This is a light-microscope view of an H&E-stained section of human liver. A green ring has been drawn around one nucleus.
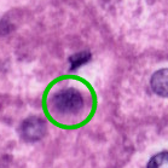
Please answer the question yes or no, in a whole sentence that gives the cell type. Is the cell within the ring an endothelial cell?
Yes, in terms of cell type, the cell within the ring is an endothelial cell.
